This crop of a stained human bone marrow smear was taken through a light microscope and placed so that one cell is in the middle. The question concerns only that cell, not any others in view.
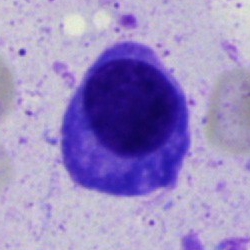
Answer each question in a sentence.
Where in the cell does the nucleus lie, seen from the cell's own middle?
The nucleus sits off-centre, toward the top.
